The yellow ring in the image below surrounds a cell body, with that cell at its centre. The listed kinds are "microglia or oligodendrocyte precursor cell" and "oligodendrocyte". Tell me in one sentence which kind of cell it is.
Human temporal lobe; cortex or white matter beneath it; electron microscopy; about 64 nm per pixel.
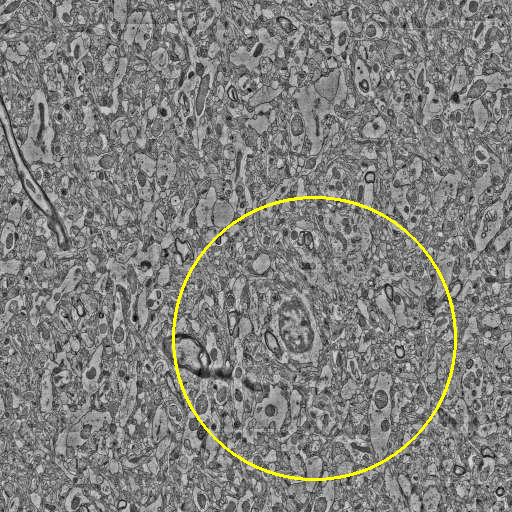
The centre of the ring holds a microglial cell or oligodendrocyte precursor cell.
